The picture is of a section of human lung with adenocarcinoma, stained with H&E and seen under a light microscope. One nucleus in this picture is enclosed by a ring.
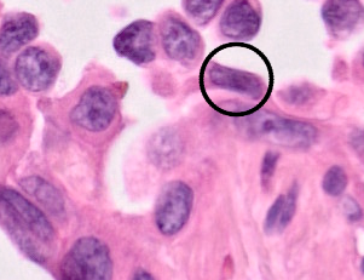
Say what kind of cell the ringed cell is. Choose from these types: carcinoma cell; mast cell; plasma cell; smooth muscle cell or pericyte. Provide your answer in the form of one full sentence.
Students should answer that the ringed cell is a carcinoma cell.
